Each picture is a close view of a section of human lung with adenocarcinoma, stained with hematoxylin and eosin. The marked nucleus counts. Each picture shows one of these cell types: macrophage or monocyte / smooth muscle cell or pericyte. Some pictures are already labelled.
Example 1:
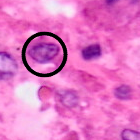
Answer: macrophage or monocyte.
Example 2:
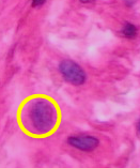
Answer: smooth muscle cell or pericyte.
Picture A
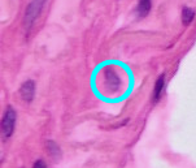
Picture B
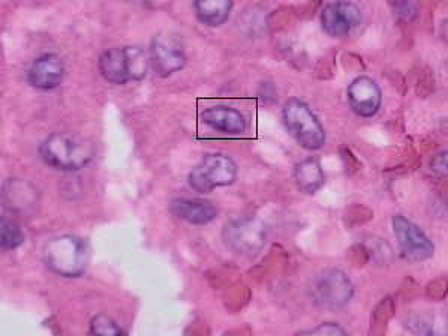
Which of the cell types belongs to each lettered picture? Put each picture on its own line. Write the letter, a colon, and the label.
A: smooth muscle cell or pericyte.
B: macrophage or monocyte.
